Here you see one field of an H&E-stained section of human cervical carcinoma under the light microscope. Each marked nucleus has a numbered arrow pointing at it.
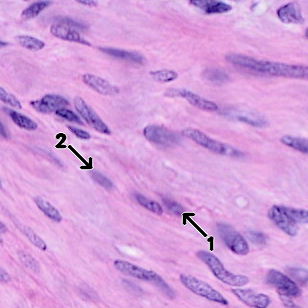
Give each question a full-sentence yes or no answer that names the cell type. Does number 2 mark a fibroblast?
Yes, and to answer plainly, cell 2 is a fibroblast.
